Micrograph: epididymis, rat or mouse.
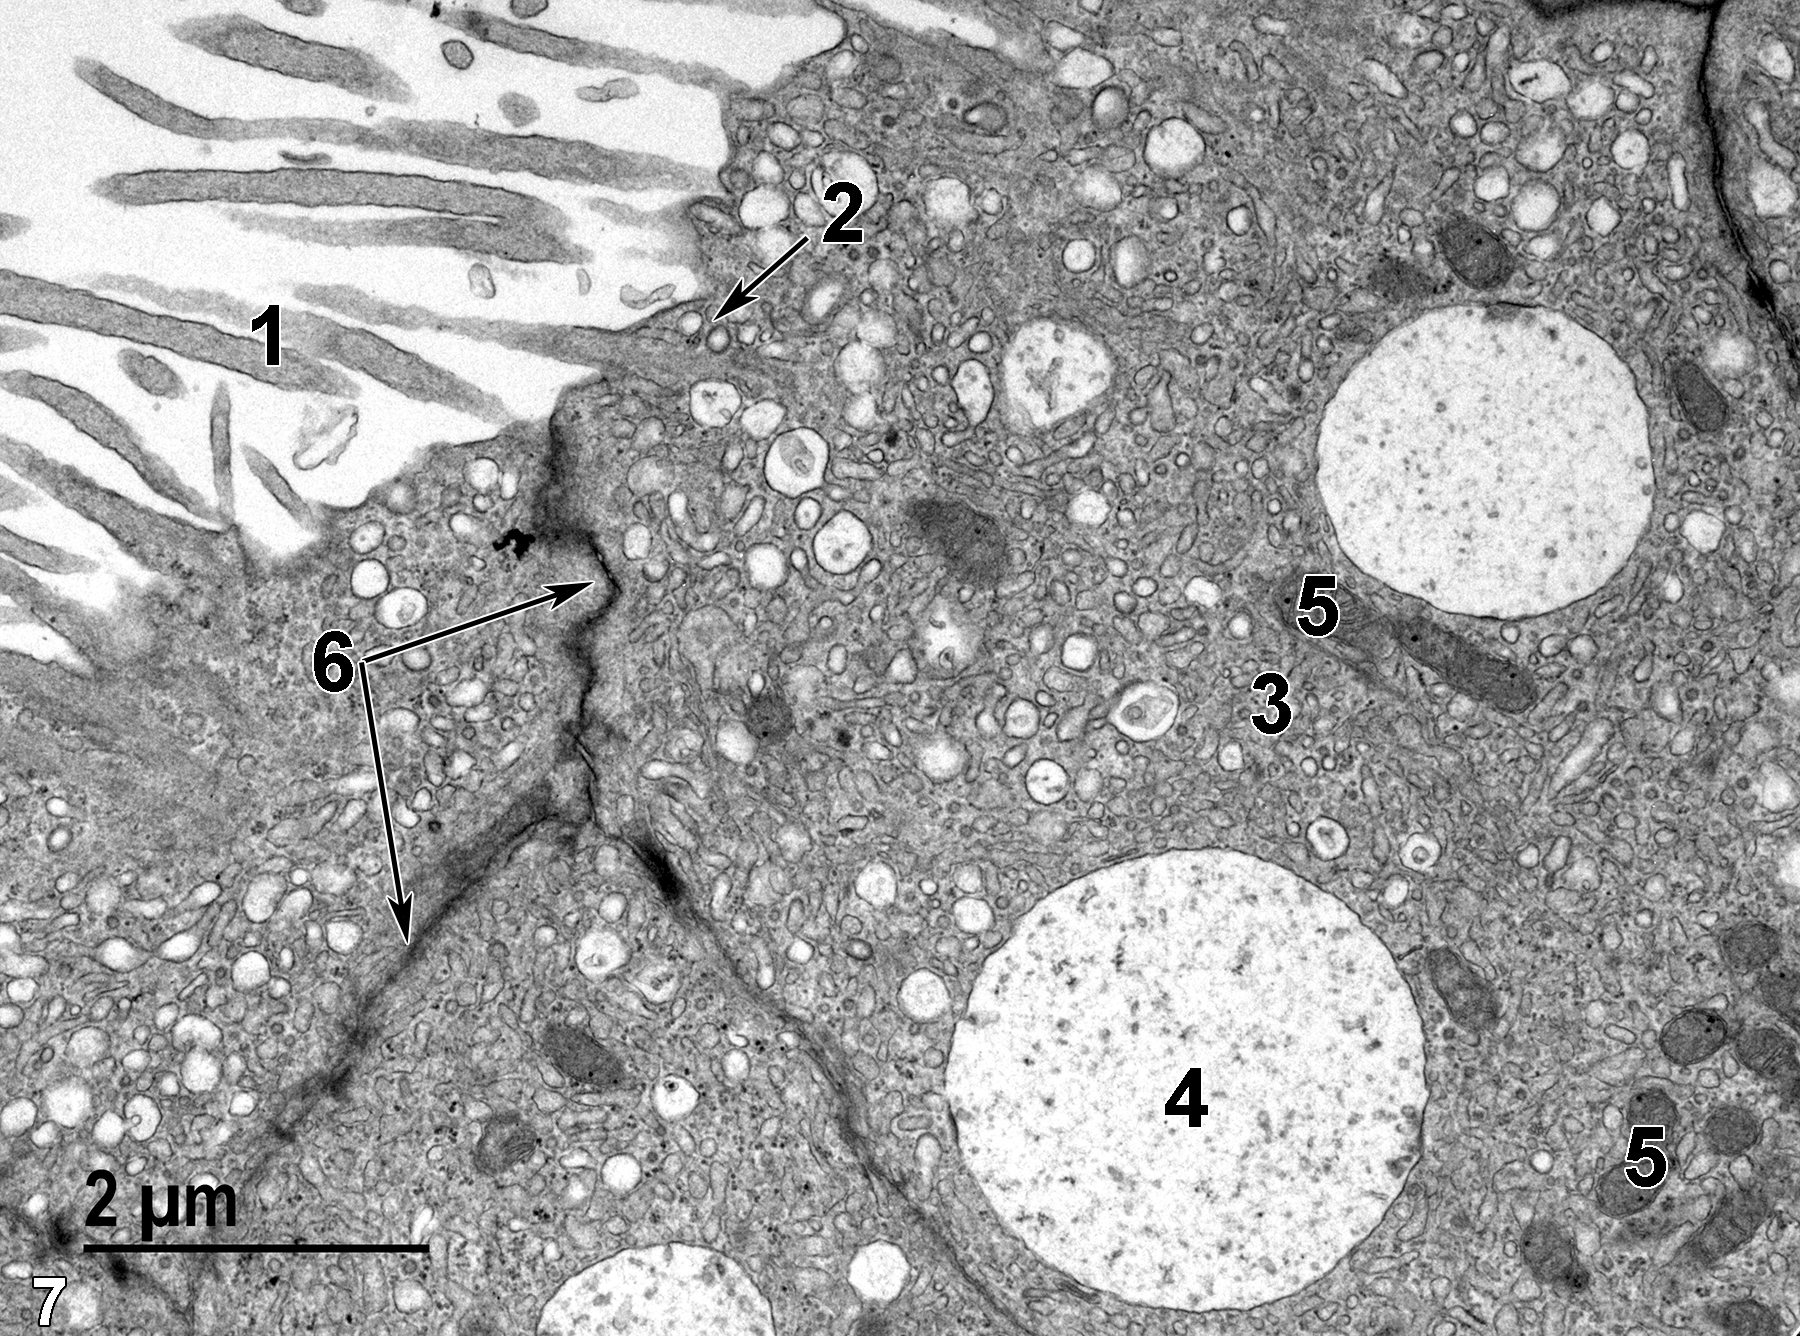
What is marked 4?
At 4: large vacuoles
